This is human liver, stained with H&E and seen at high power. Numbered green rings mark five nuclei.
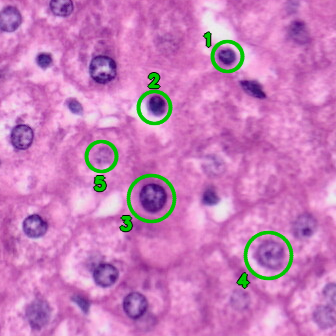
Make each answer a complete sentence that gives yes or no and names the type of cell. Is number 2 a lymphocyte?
Yes, the cell at number 2 is a lymphocyte.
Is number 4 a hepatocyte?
Yes, the cell shown as number 4 is a hepatocyte.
